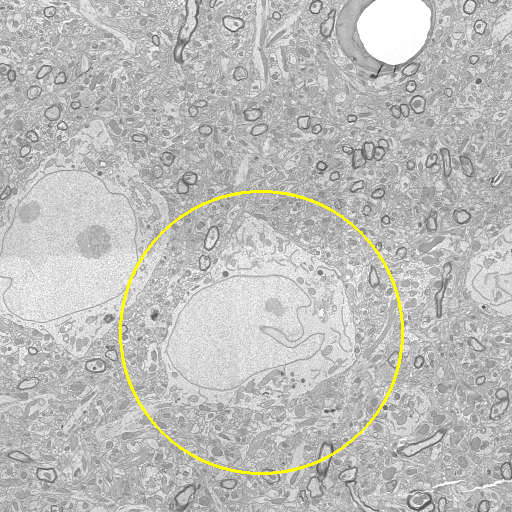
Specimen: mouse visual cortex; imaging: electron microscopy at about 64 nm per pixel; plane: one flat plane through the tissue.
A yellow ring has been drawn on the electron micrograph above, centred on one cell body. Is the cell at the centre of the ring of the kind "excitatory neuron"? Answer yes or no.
yes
